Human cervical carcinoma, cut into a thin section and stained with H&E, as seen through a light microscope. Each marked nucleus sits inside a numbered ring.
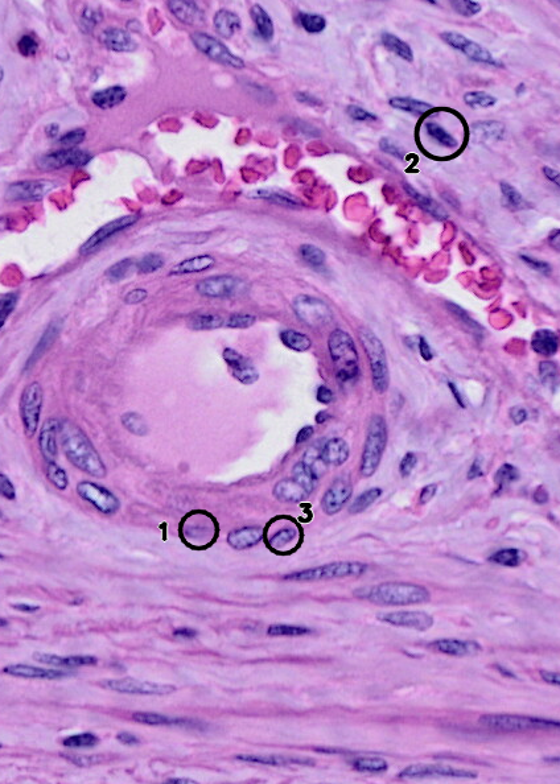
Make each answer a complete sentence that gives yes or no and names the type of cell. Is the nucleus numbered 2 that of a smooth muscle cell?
No, cell 2 should be read as a lymphocyte instead of a smooth muscle cell.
